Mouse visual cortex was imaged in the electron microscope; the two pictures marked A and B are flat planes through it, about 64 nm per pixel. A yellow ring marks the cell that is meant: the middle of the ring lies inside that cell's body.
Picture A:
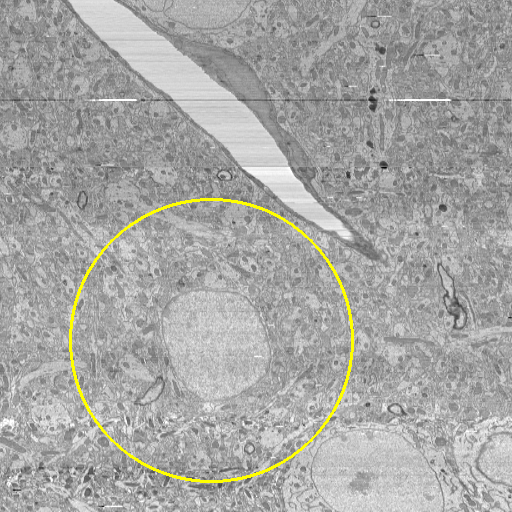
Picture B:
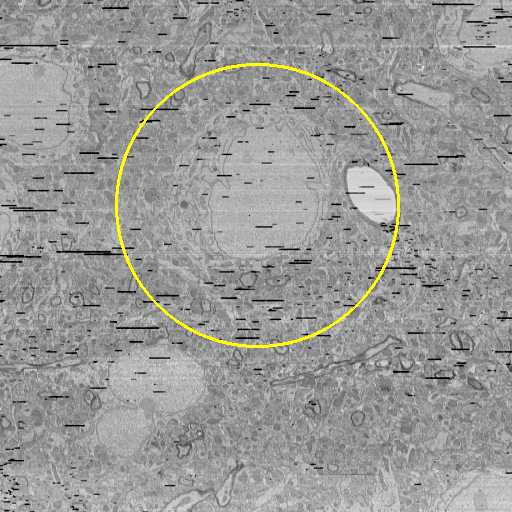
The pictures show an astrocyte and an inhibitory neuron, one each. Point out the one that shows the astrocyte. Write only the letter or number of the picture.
A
